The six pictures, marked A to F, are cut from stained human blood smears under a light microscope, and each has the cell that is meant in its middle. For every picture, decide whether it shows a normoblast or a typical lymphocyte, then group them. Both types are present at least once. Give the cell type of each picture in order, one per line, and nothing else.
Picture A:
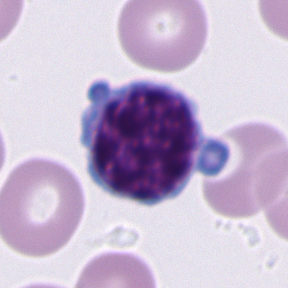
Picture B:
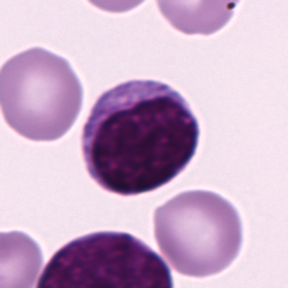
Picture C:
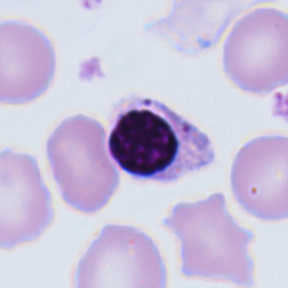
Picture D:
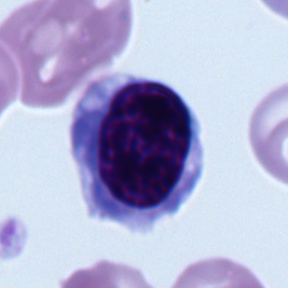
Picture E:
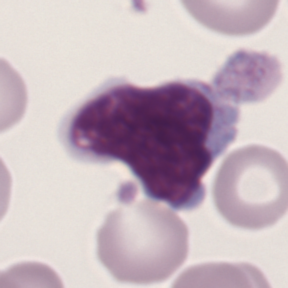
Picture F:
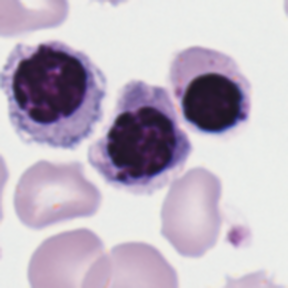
normoblast
typical lymphocyte
normoblast
normoblast
typical lymphocyte
normoblast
